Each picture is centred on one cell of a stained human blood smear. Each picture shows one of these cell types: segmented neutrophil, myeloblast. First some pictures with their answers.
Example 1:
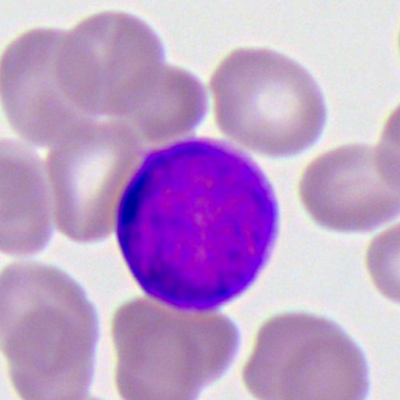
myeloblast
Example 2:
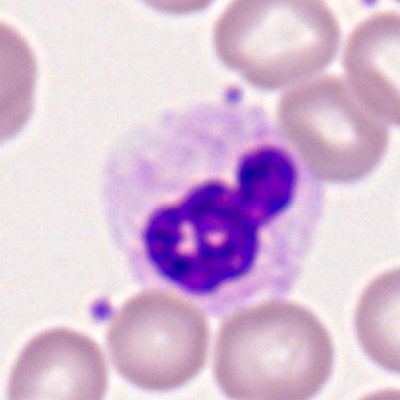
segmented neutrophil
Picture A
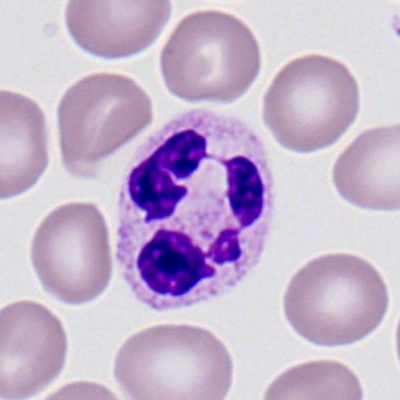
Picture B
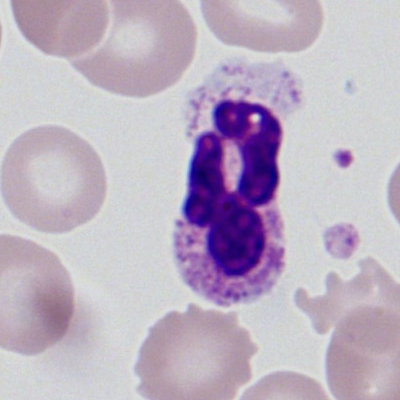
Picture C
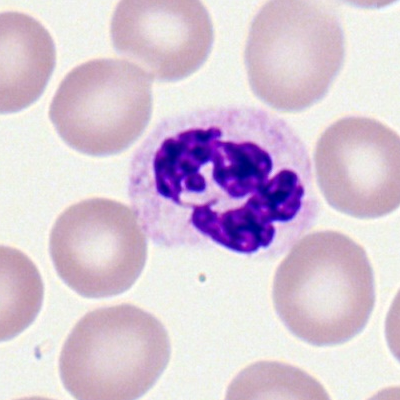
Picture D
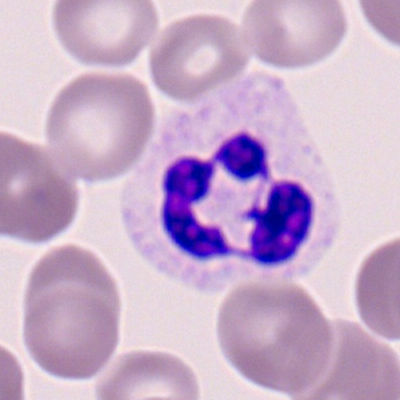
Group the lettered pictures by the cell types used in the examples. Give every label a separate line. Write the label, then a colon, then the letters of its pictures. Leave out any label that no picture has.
segmented neutrophil: A, B, C, D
